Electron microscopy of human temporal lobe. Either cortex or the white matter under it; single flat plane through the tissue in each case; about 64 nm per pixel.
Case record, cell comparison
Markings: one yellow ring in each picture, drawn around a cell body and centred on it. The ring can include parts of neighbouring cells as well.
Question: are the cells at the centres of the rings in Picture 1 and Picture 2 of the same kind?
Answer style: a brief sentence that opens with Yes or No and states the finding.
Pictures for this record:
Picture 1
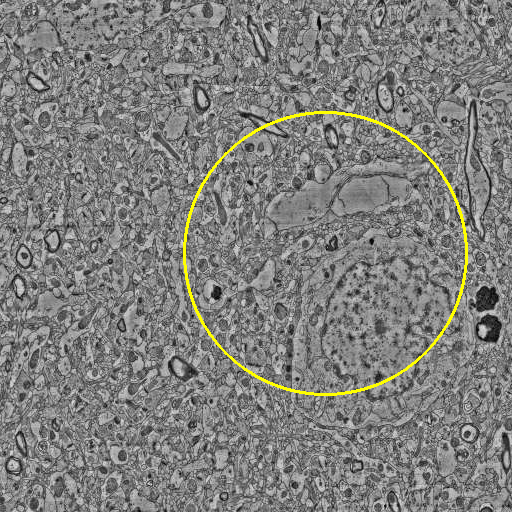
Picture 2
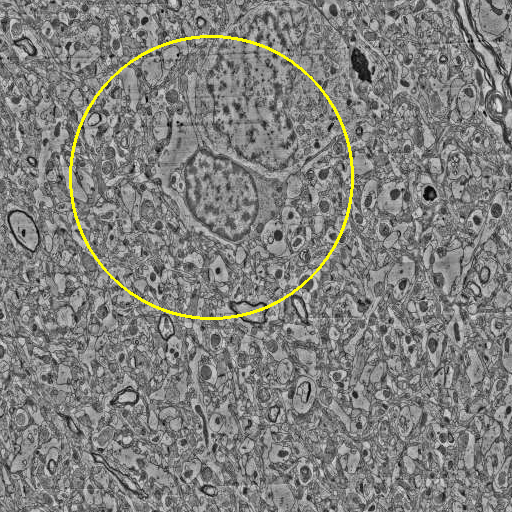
Yes, the cells in Picture 1 and Picture 2 are of the same kind.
